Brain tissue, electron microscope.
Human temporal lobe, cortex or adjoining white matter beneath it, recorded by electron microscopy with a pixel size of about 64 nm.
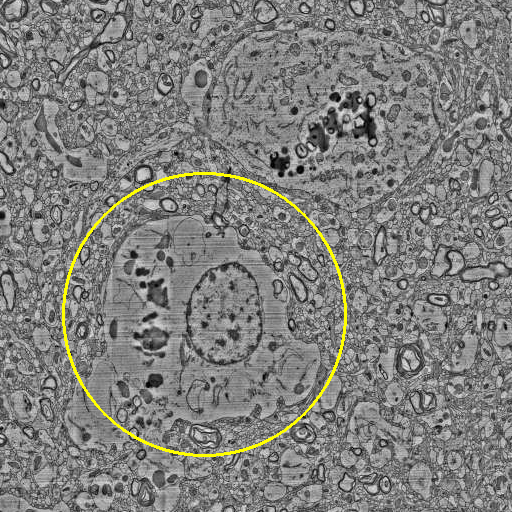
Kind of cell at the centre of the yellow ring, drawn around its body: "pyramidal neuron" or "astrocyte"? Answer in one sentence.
The ring's centre falls on an astrocyte.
